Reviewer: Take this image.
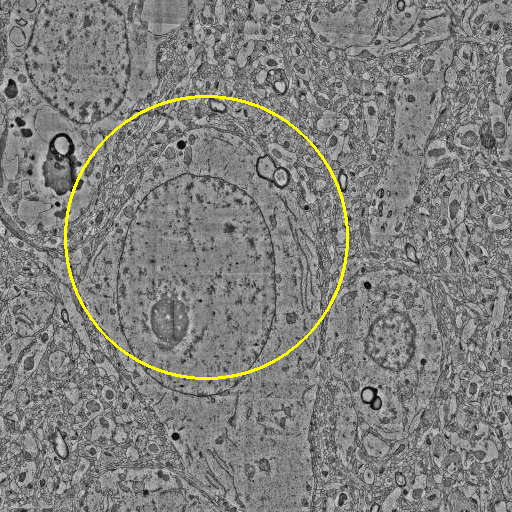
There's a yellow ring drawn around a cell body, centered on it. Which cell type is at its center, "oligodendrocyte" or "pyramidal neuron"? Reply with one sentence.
At the center of the yellow ring is a pyramidal neuron.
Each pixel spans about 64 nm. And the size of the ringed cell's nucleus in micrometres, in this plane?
Roughly 14 by 10 micrometres in this plane, for the nucleus of the ringed cell.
